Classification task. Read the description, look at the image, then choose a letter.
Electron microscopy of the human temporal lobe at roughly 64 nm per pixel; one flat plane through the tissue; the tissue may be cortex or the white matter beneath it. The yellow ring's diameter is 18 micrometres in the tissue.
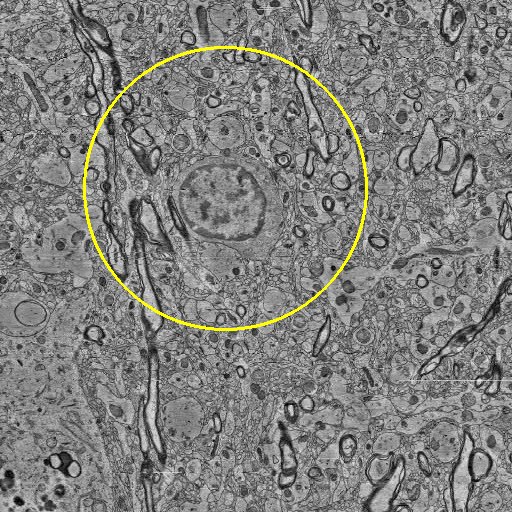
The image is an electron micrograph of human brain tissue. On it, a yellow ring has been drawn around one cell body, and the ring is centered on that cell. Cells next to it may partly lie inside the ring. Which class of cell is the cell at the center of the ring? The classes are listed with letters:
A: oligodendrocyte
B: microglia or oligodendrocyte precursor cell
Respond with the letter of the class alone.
A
